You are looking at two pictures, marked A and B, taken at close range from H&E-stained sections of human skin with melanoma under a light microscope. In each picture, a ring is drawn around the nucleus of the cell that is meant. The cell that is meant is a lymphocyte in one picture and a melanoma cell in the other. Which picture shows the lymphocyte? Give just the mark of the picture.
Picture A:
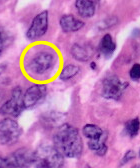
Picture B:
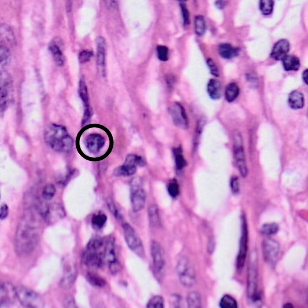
B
